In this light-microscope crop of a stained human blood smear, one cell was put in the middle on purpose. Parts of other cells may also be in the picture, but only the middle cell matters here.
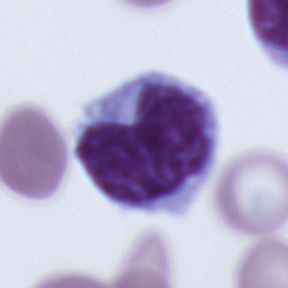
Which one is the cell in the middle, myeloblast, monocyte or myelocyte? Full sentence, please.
Of the cells in this crop, the central one is a monocyte.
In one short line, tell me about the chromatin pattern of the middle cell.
Chromatin in the nucleus here is coarsely clumped.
